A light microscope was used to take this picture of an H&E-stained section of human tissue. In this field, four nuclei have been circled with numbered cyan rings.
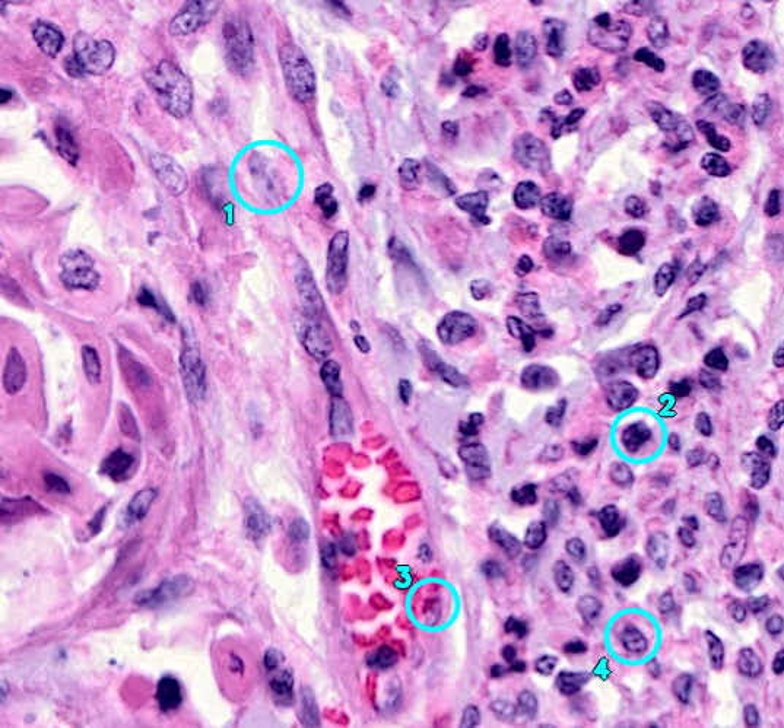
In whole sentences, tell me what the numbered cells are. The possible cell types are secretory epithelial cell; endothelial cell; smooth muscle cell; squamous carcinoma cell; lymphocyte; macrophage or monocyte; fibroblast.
Cell 1 is a fibroblast. Cell 2 is a lymphocyte. Cell 3 is an endothelial cell. Cell 4 is a macrophage or monocyte.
